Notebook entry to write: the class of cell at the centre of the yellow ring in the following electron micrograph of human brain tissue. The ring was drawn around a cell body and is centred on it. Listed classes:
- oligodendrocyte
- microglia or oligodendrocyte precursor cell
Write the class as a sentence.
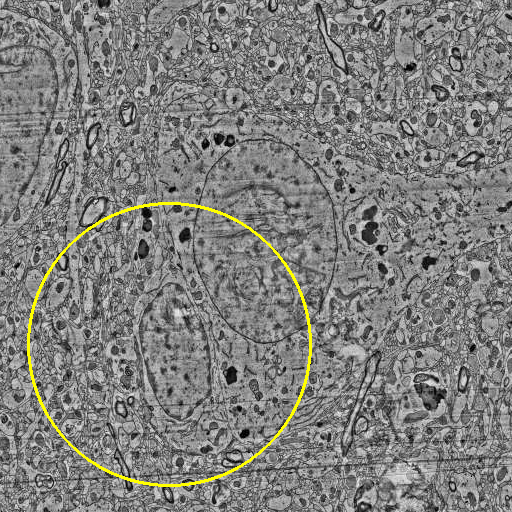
The yellow ring sits on a microglial cell or oligodendrocyte precursor cell.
